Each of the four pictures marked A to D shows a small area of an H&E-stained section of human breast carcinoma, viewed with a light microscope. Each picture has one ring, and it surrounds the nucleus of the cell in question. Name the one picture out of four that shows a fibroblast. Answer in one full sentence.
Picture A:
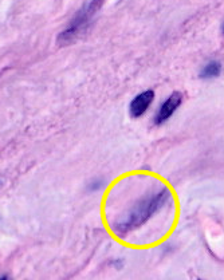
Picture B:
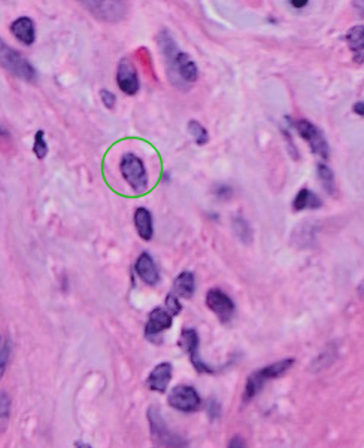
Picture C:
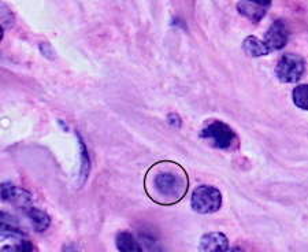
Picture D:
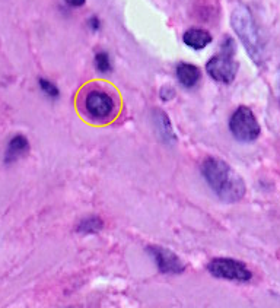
It is picture A that shows the fibroblast.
